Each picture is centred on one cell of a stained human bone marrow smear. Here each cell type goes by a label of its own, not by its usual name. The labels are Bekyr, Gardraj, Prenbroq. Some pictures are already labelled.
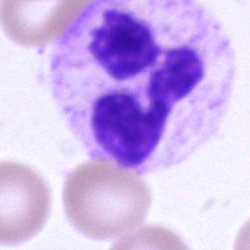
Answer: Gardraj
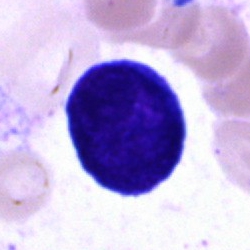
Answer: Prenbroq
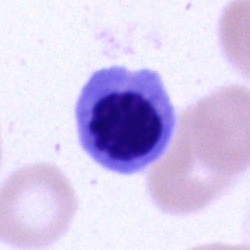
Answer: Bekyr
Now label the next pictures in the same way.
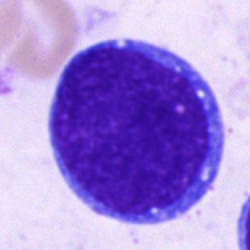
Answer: Prenbroq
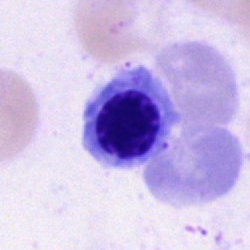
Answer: Bekyr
